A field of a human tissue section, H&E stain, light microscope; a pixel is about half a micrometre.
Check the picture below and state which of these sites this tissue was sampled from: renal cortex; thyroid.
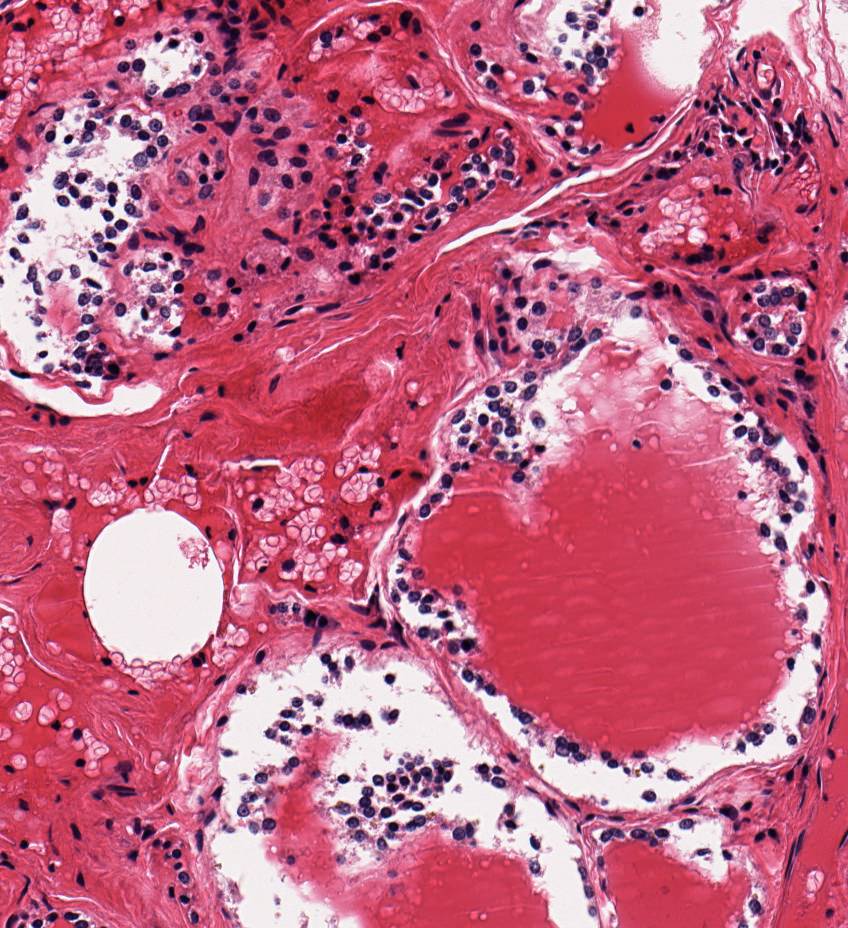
thyroid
